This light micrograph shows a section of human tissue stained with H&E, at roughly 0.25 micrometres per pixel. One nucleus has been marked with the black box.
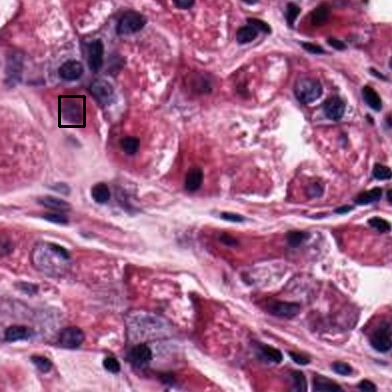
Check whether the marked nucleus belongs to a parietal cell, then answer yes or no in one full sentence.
Yes, the nucleus picked out by the mark belongs to a parietal cell.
